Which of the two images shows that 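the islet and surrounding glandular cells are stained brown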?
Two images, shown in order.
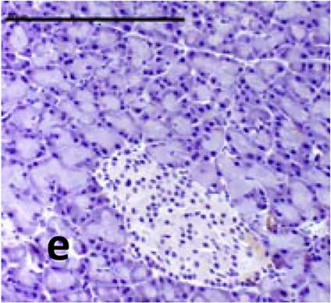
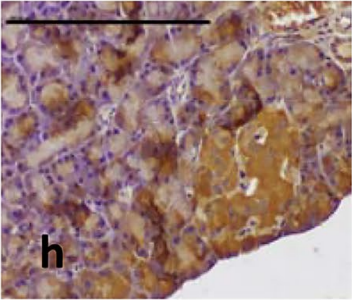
The second image.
